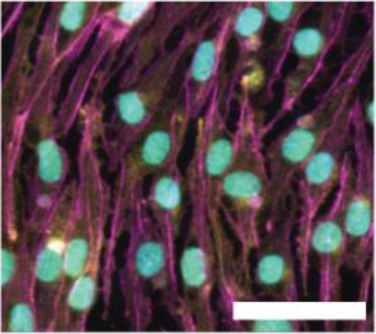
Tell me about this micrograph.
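The cells are long and spindle-shaped, lying side by side in roughly parallel streams that curve gently across the field. Each cell holds a single oval blue-green nucleus, fairly uniform in size, placed near its middle. Magenta filaments run along the long axis of the cells and outline their thin, tapering ends. Dark gaps lie between some neighbouring cells.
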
